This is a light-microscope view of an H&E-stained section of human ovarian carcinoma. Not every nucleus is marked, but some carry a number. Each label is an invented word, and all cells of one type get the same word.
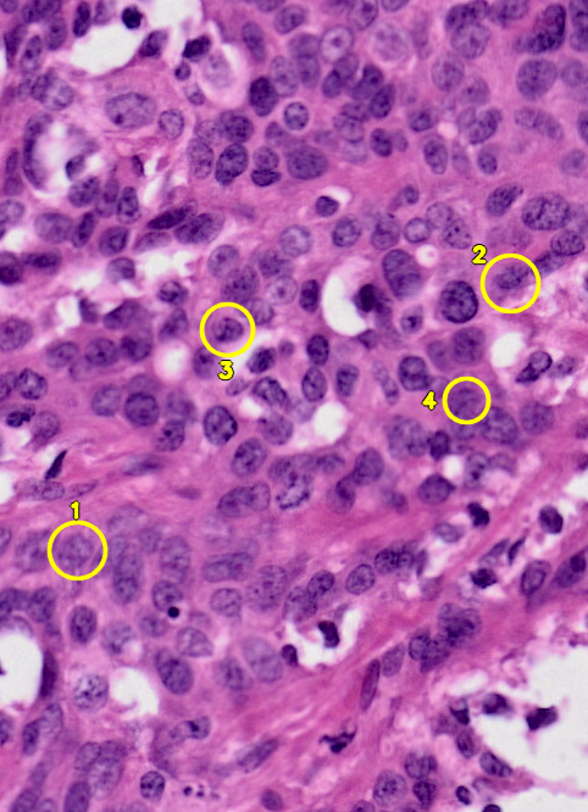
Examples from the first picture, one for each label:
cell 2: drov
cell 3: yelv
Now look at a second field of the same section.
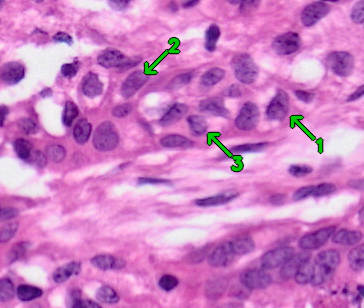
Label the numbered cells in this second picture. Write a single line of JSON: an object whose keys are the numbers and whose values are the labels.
{"1": "drov", "2": "drov", "3": "yelv"}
